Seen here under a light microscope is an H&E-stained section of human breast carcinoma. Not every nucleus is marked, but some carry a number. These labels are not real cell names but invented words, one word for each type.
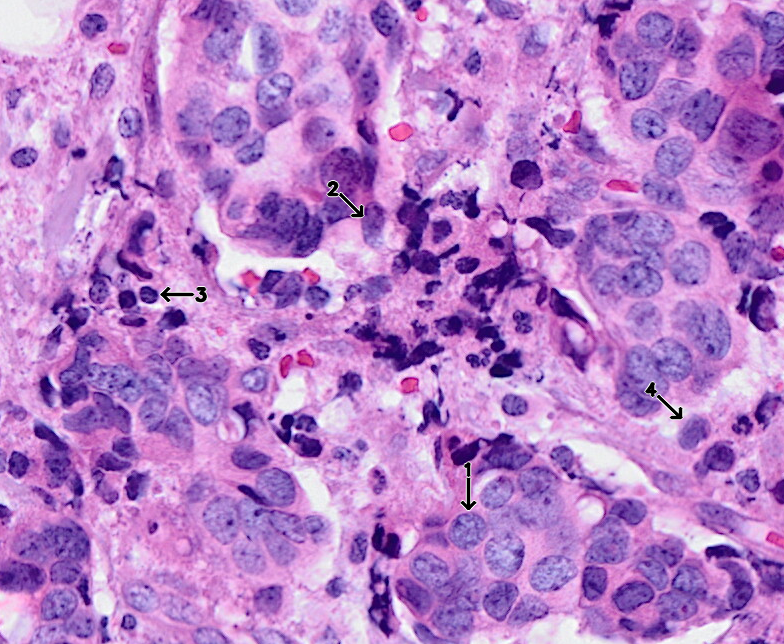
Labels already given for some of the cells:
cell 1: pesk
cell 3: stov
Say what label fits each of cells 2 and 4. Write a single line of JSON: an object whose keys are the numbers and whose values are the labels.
{"2": "pesk", "4": "pesk"}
